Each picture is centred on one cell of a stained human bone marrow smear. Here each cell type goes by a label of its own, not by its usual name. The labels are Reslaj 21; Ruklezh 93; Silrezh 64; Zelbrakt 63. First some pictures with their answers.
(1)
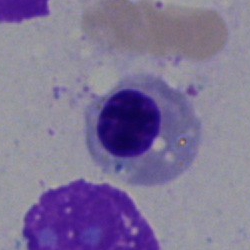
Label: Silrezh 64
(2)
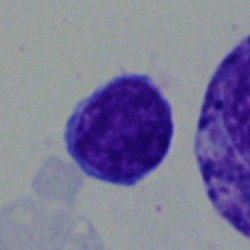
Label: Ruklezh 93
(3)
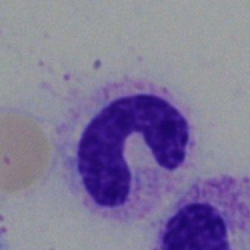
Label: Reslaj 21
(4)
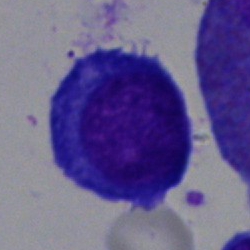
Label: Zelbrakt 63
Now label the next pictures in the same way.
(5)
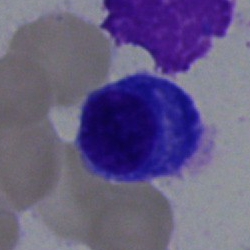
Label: Zelbrakt 63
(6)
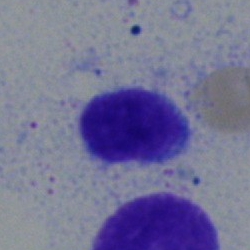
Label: Ruklezh 93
